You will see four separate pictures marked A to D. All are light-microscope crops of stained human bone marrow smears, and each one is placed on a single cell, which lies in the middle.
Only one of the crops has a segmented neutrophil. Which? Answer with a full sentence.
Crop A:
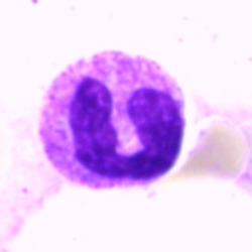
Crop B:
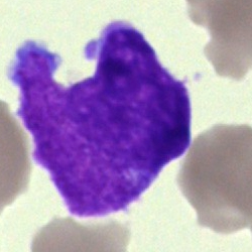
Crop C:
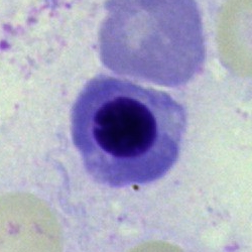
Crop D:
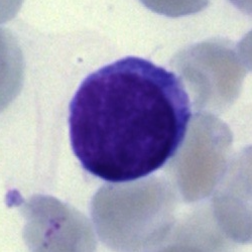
Of these crops, it is crop A that shows a segmented neutrophil.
